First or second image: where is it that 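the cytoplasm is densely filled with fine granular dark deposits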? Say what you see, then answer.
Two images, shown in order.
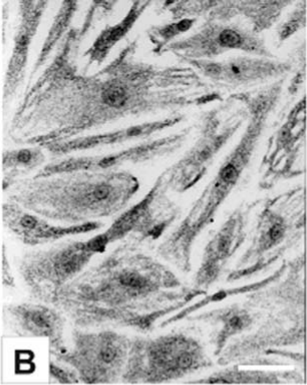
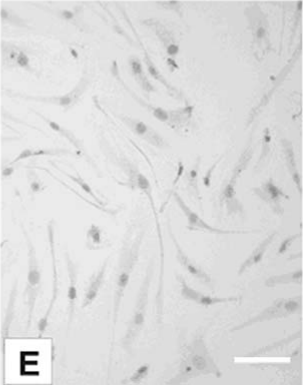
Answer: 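First image: cell bodies are filled with dense grey-black granular material that outlines each cell.
Hence: the first image.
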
